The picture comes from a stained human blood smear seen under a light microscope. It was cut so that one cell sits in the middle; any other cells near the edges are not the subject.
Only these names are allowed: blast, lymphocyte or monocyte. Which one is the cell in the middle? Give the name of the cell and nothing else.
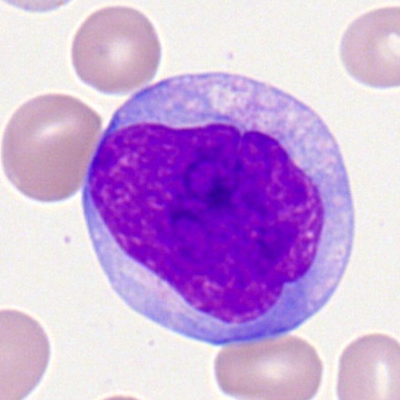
blast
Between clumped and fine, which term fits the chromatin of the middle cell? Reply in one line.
The key point is fine chromatin with no coarse clumps.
